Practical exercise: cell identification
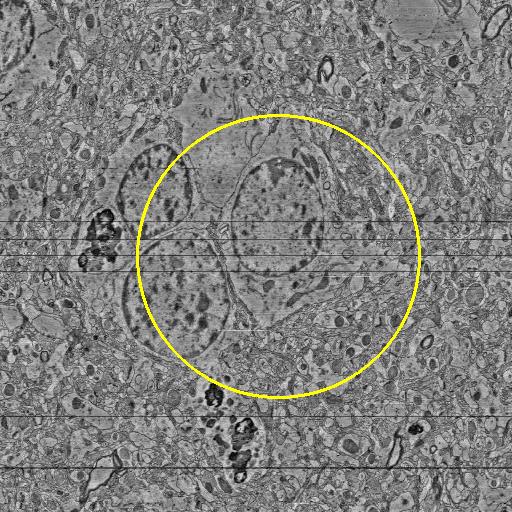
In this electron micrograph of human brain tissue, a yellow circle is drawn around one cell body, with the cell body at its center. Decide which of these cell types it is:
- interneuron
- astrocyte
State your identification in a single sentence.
The ringed cell is an astrocyte.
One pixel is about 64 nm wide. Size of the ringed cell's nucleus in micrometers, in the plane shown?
The ringed cell's nucleus measures approximately 8 by 6 micrometres in this plane.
